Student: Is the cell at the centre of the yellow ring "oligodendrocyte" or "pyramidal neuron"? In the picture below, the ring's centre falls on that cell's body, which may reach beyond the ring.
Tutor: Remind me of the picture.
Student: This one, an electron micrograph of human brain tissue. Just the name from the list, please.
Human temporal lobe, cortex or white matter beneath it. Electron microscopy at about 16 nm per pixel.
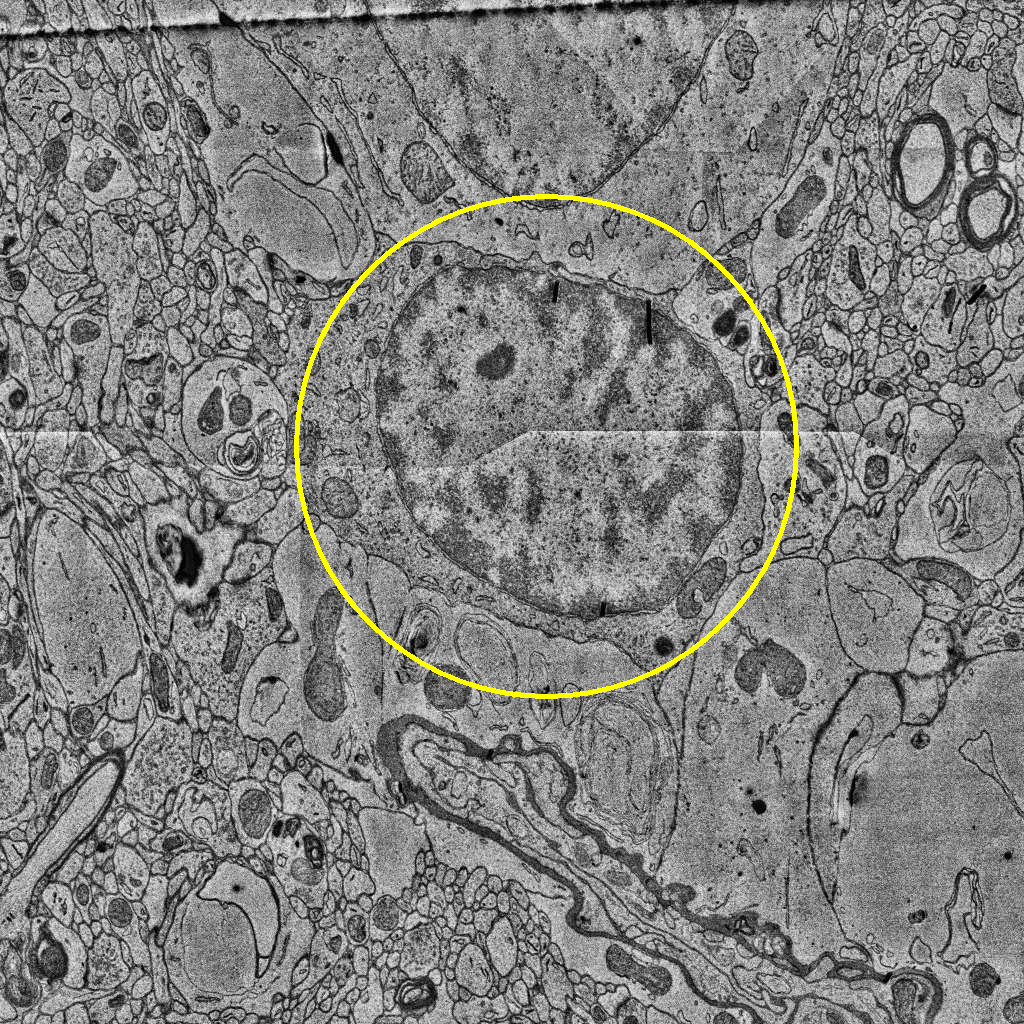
oligodendrocyte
